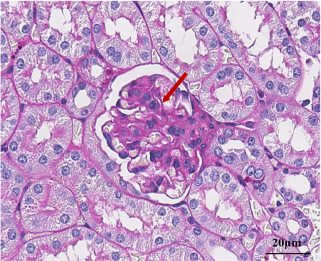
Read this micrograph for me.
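A section of kidney shows a round capillary tuft in the centre, enclosed by a thin capsule and surrounded by cross-sectioned tubules. The tubules are lined by cuboidal epithelial cells with round blue-purple nuclei and pale, finely granular pink-violet cytoplasm. A thin clear space separates the tuft from its capsule.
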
